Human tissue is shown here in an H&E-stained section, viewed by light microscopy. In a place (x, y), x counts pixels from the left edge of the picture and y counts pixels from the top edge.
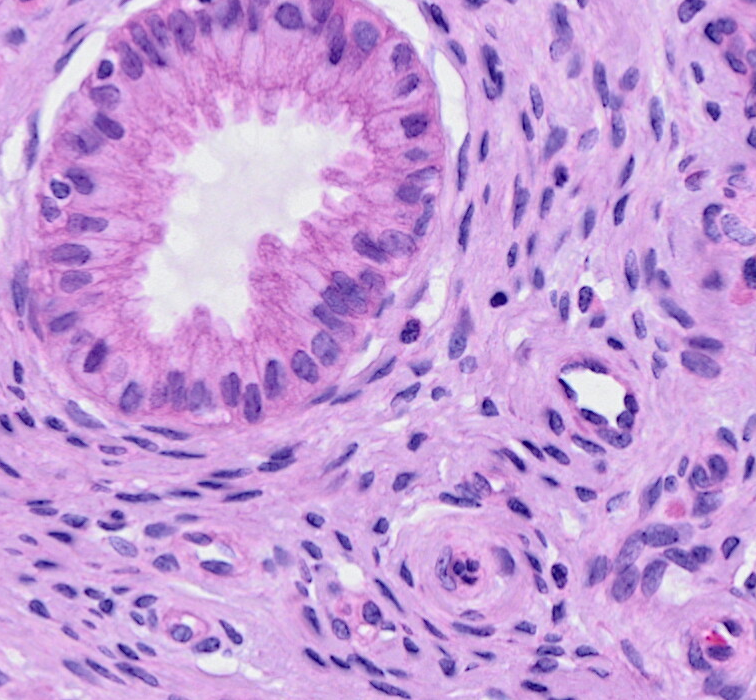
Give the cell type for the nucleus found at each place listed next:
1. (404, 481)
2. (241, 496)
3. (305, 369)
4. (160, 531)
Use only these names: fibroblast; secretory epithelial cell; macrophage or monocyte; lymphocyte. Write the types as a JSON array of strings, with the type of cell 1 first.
["fibroblast", "fibroblast", "secretory epithelial cell", "fibroblast"]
